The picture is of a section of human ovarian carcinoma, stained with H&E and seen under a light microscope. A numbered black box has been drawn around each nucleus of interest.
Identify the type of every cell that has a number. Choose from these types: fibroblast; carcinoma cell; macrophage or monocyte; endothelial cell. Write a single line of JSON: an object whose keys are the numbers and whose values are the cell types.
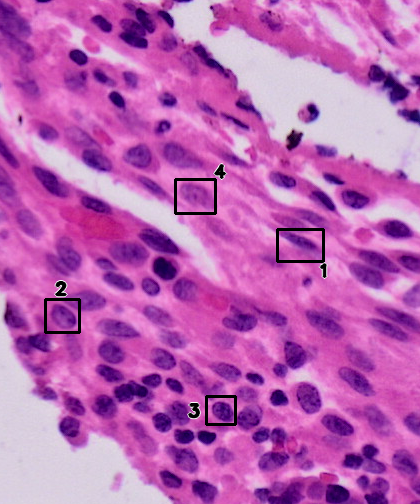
{"1": "fibroblast", "2": "macrophage or monocyte", "3": "macrophage or monocyte", "4": "fibroblast"}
